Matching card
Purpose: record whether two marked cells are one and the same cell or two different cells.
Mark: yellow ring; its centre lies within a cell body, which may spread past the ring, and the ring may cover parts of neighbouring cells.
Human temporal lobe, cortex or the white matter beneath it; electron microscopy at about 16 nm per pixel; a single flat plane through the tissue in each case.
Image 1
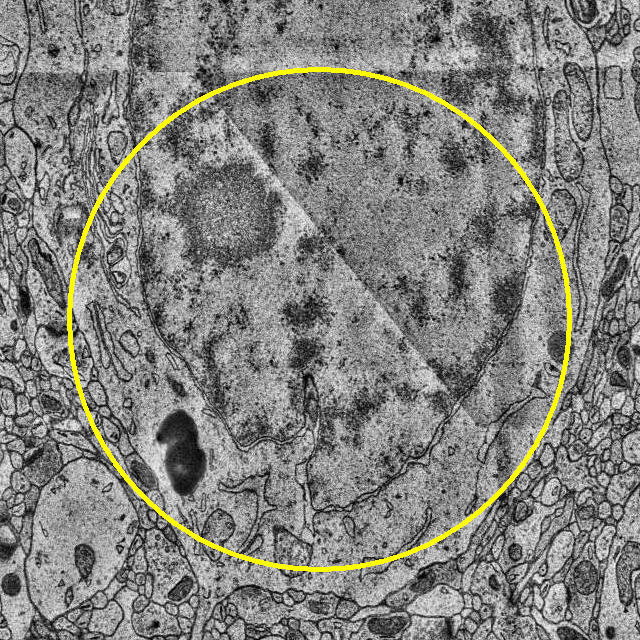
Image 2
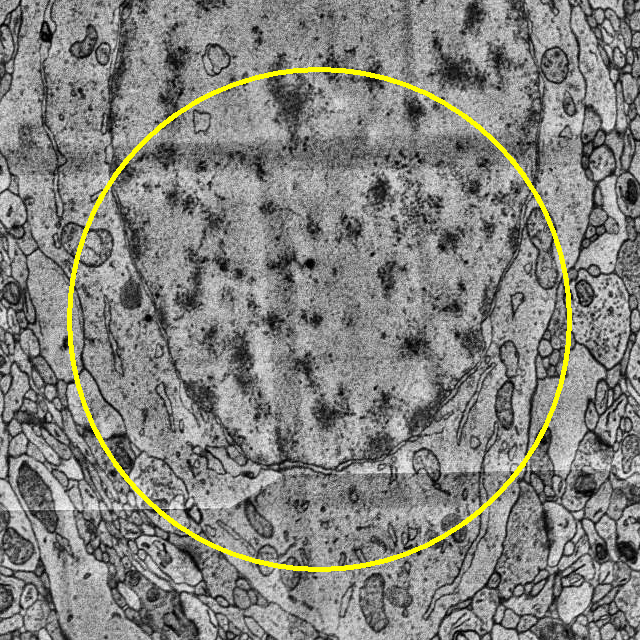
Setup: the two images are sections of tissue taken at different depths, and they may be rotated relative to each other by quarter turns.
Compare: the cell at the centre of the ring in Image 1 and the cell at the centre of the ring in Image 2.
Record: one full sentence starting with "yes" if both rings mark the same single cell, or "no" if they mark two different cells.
Yes, both circles in yellow pick out the same cell.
